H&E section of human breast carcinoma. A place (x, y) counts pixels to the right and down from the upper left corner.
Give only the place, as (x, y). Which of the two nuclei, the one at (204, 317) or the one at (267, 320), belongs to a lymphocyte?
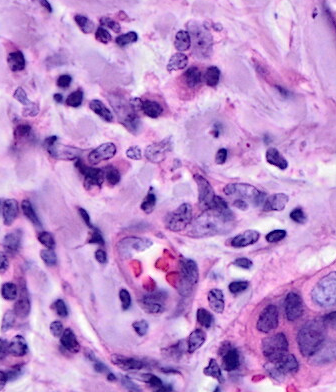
(204, 317)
